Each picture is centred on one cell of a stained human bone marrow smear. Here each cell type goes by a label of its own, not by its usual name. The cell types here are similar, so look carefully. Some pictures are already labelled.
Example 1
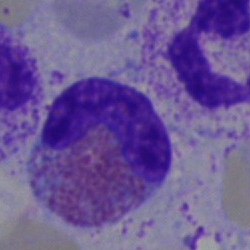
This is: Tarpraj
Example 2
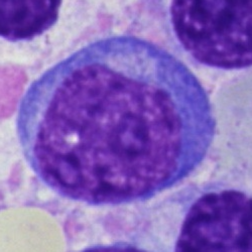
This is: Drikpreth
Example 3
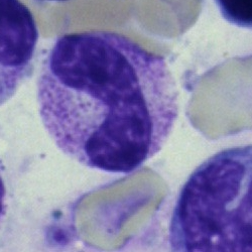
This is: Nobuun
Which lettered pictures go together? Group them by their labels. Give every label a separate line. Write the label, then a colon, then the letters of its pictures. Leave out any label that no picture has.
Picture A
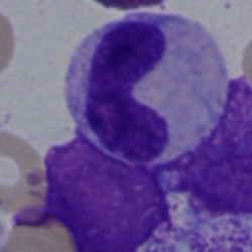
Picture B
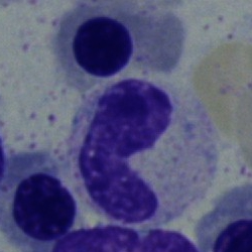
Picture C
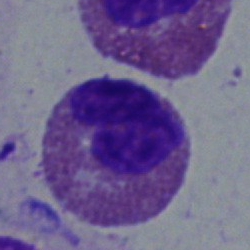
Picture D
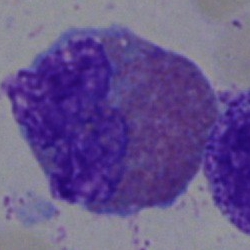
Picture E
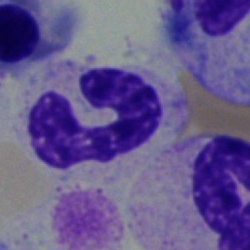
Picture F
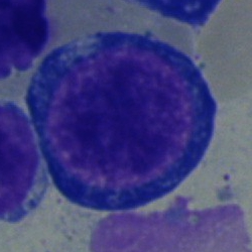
Tarpraj: C, D
Drikpreth: F
Nobuun: A, B, E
